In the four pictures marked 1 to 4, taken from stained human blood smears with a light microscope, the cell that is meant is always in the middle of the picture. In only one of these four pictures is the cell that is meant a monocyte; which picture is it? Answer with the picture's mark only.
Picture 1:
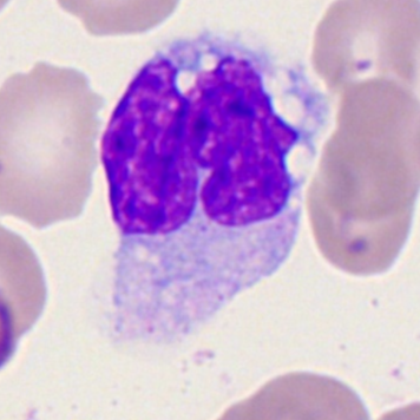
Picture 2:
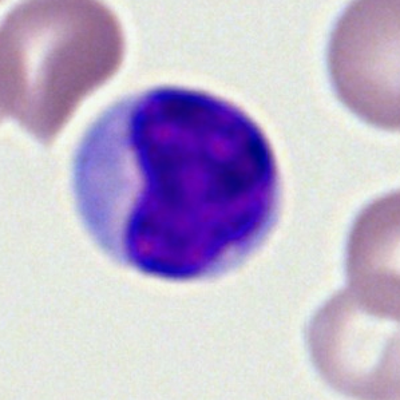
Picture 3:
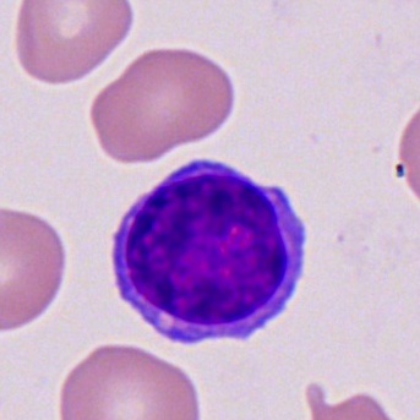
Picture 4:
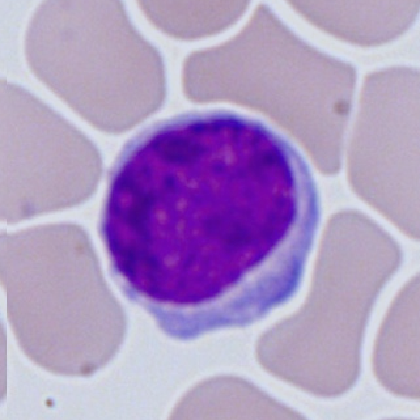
1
